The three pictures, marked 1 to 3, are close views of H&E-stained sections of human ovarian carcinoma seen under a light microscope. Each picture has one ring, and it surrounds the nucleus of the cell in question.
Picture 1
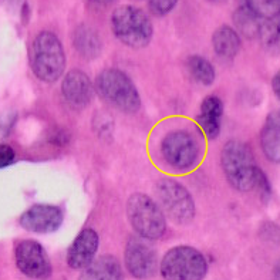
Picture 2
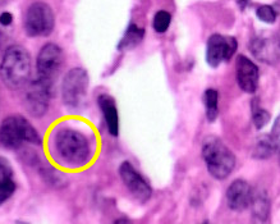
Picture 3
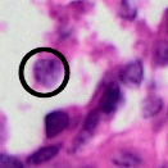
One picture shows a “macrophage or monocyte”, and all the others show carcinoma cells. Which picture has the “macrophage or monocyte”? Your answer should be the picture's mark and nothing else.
3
